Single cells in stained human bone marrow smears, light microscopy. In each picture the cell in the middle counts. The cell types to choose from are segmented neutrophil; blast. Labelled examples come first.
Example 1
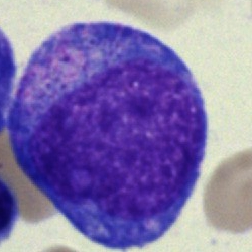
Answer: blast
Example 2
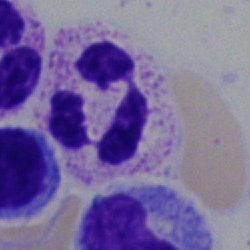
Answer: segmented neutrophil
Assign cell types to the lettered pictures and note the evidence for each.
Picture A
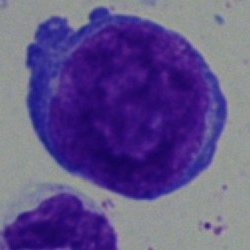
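blast: The cytoplasm forms only a thin rim around the nucleus.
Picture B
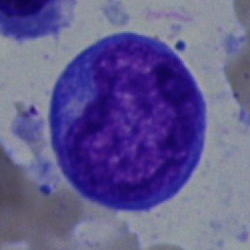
blast: The nucleus fills most of the cell.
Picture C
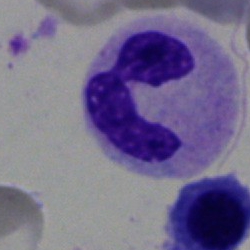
segmented neutrophil: The nucleus is a curved band shaped like a C, open toward the right.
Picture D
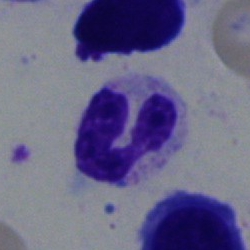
segmented neutrophil: The chromatin is dark purple and coarsely clumped.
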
